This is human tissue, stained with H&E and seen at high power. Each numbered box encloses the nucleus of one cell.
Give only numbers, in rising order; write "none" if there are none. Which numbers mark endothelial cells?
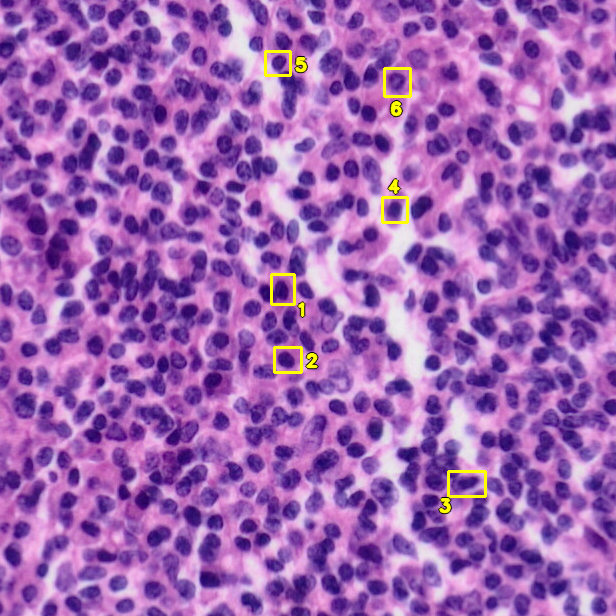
none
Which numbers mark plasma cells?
1, 2, 4, 6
